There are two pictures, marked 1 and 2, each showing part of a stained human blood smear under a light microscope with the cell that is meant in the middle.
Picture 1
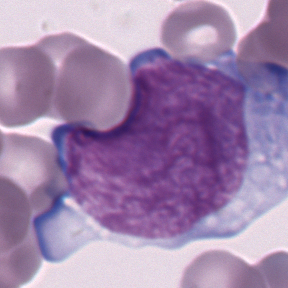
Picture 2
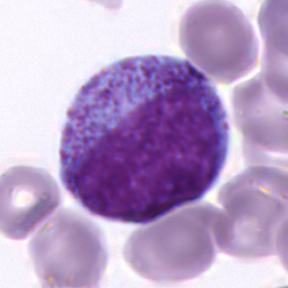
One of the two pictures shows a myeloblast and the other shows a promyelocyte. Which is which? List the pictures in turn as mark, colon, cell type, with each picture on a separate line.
1: myeloblast
2: promyelocyte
